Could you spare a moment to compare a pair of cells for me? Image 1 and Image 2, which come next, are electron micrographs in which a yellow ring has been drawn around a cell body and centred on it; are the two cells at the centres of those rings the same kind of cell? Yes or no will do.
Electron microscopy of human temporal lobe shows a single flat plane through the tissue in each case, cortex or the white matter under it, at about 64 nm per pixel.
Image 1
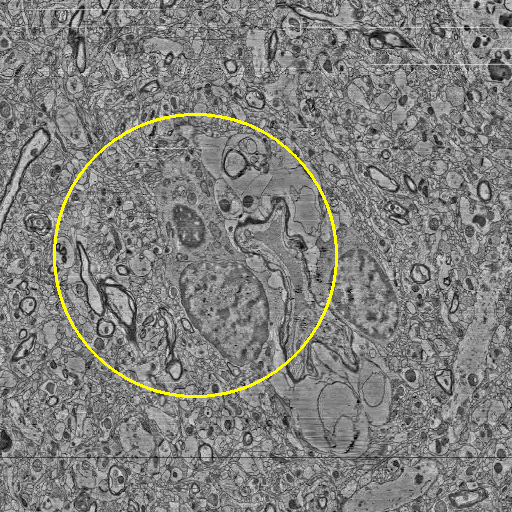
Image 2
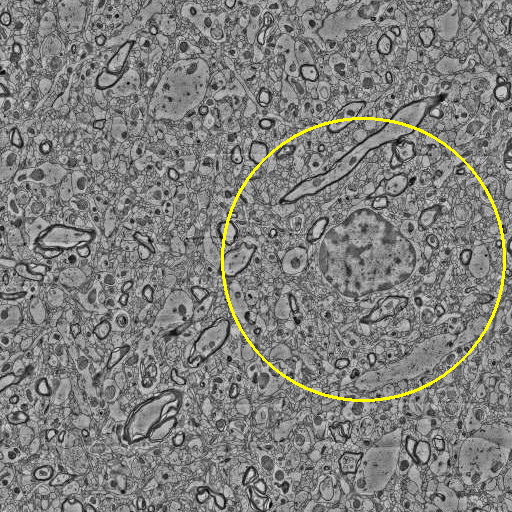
no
